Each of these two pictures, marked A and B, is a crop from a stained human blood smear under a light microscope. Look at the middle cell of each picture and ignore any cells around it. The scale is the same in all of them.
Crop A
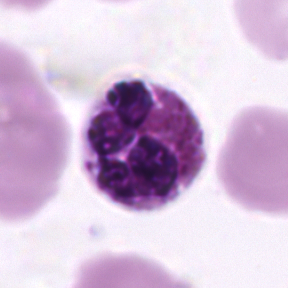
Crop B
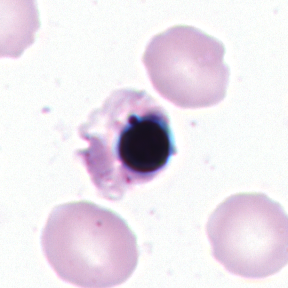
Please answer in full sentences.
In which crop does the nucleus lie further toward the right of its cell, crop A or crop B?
Seen within its cell, the nucleus in crop B lies further toward the right.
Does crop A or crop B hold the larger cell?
It is the cell in crop A, about 2.5 times as large in area as the cell in crop B.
